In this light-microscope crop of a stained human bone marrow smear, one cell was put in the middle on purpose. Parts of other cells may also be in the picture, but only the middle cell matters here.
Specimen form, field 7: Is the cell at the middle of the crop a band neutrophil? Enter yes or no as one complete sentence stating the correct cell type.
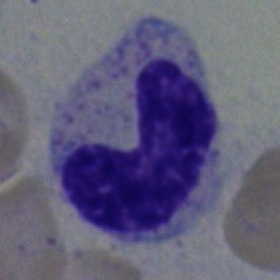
Yes, in the centre of this field sits a band neutrophil.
